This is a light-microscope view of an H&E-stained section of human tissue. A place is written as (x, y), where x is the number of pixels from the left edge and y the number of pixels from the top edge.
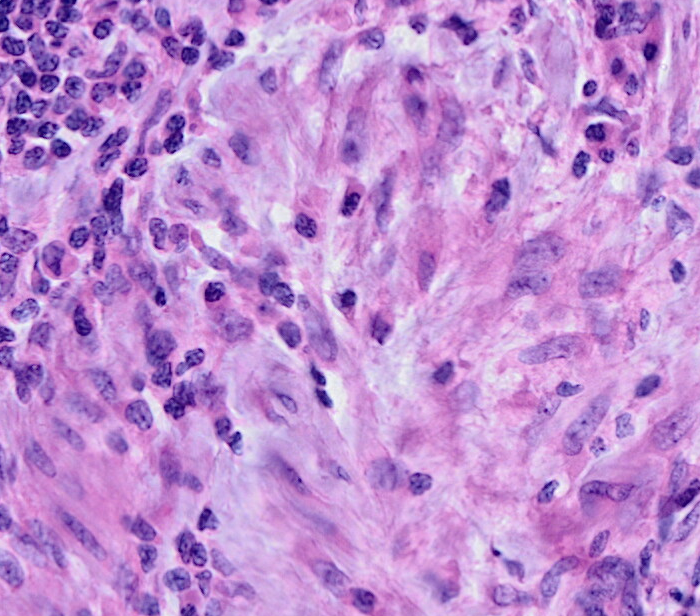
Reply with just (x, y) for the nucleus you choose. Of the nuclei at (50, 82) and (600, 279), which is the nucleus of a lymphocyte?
(50, 82)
